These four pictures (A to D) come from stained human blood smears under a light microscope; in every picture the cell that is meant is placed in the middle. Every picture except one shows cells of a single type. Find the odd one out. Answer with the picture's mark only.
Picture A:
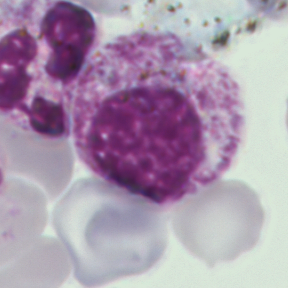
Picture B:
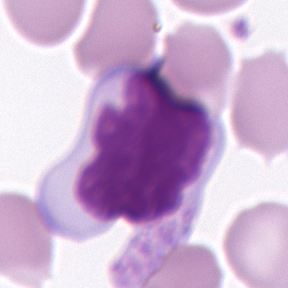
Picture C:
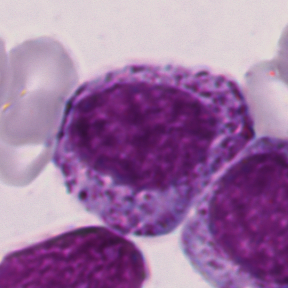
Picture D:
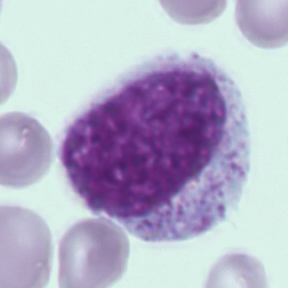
B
